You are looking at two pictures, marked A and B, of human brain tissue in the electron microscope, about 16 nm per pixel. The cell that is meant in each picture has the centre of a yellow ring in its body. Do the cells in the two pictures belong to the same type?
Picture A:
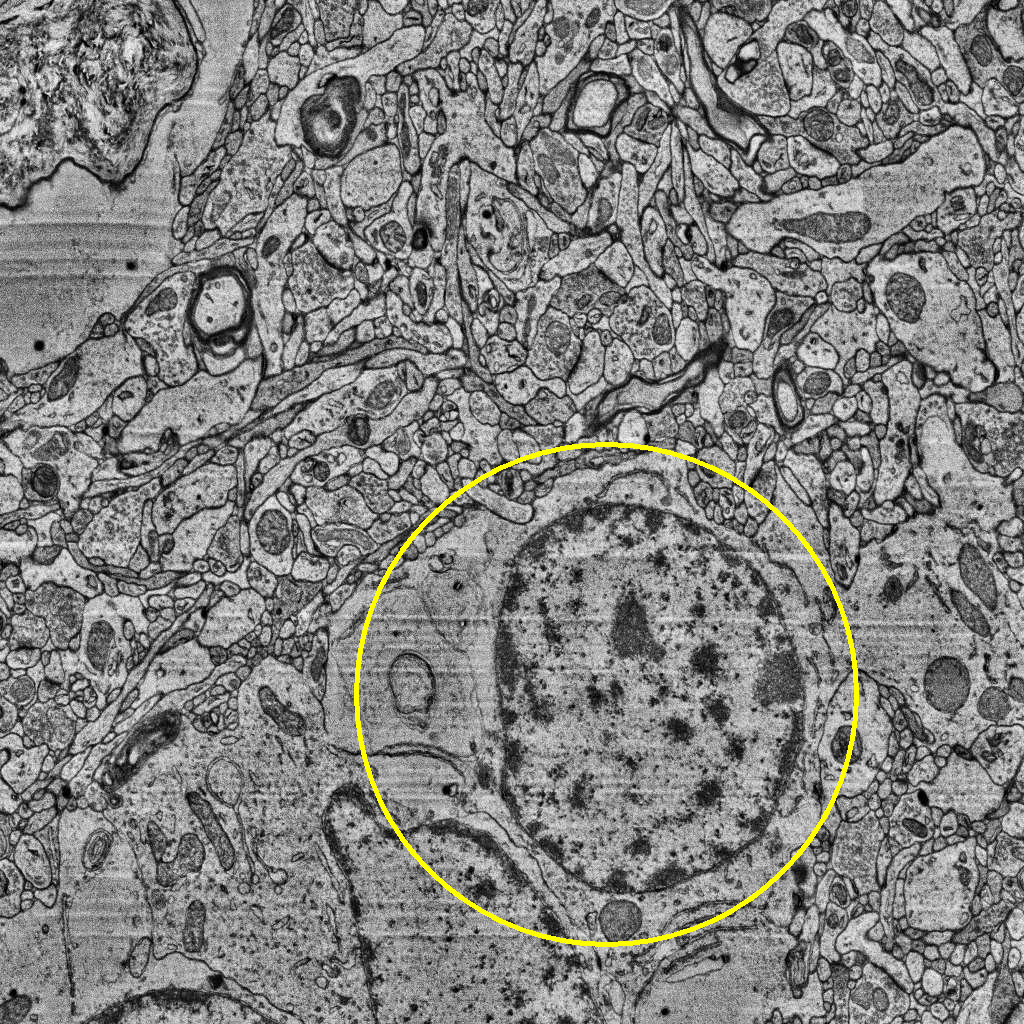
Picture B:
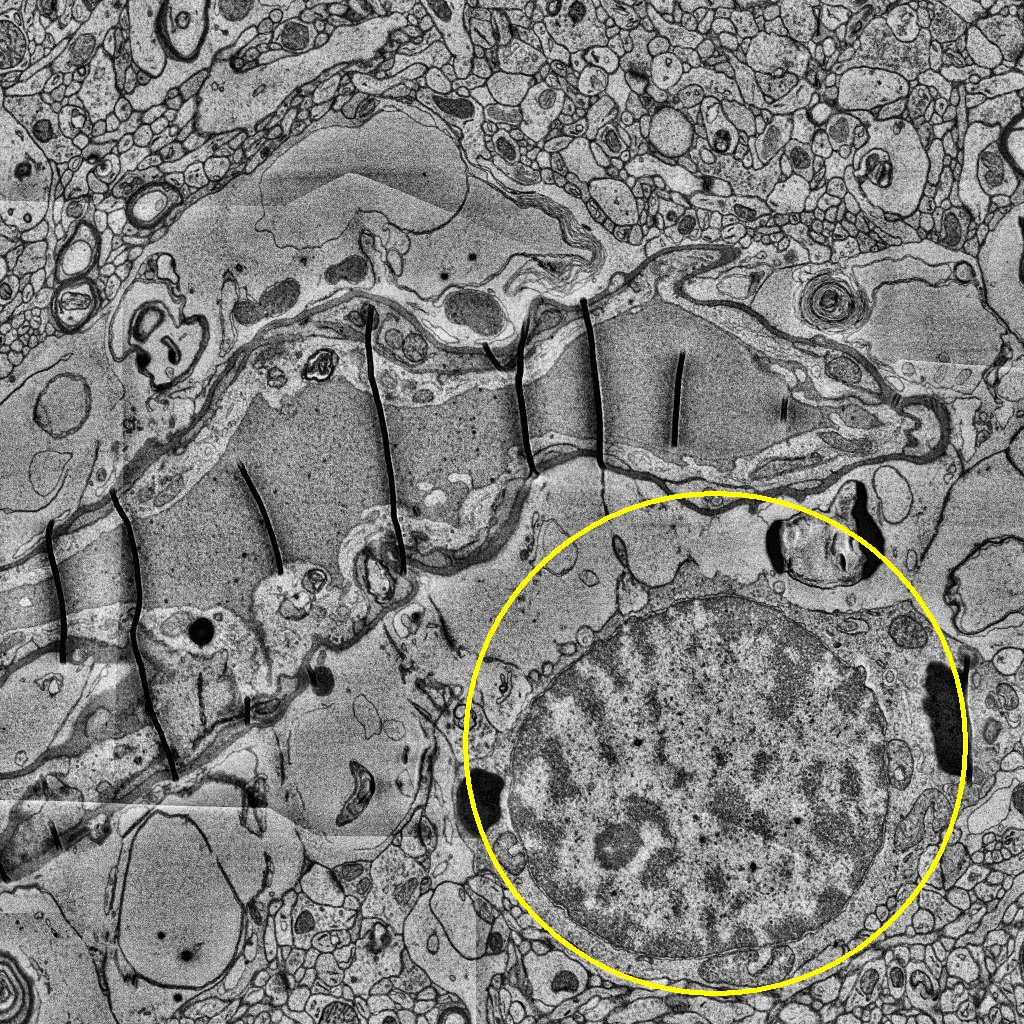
No; the cell in picture A is an astrocyte, while the one in picture B is an oligodendrocyte.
